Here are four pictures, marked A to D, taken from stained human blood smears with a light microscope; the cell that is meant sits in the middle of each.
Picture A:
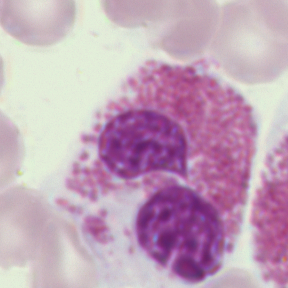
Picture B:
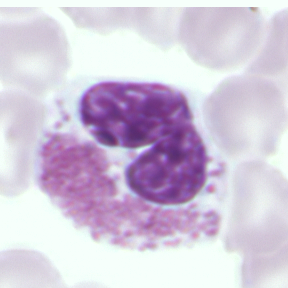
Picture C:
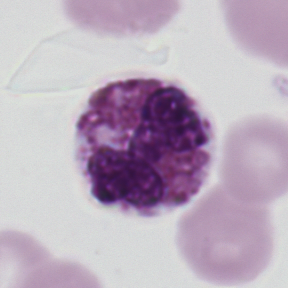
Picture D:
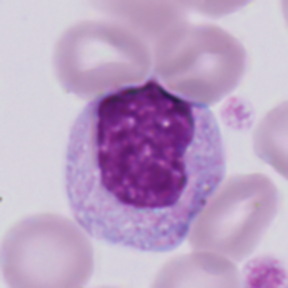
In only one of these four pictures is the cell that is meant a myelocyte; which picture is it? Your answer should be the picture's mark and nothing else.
D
